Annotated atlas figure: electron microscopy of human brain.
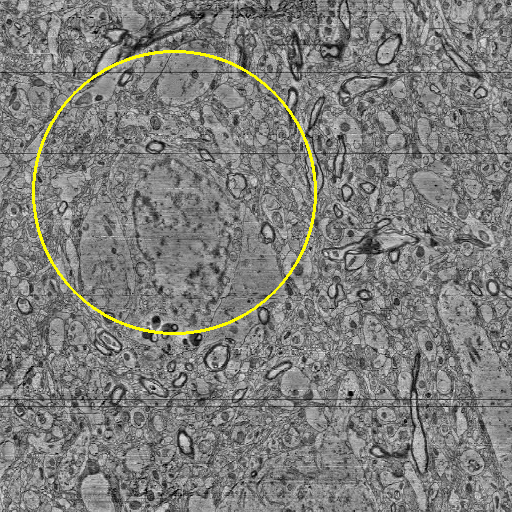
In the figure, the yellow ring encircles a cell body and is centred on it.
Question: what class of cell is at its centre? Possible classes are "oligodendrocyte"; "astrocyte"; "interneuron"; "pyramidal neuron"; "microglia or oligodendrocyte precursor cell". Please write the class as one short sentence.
The yellow ring is drawn around an interneuron.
